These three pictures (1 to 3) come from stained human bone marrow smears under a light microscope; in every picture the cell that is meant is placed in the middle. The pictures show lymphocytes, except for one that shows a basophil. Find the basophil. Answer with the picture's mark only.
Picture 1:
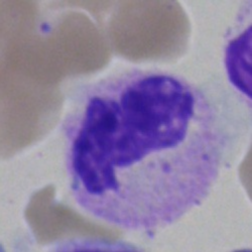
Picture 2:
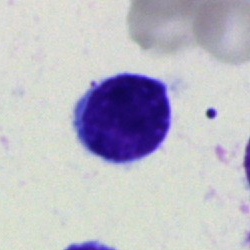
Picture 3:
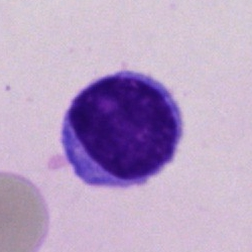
1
